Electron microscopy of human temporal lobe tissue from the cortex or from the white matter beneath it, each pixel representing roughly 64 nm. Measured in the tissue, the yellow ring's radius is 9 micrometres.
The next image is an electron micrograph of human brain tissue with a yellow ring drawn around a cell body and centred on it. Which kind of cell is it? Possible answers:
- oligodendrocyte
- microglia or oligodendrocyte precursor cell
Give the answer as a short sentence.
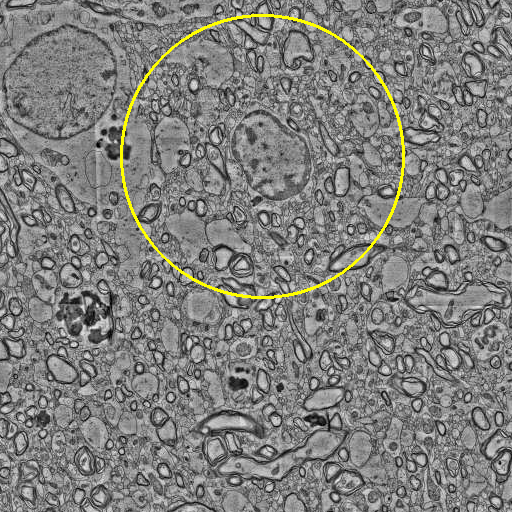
In the ring's centre is a microglial cell or oligodendrocyte precursor cell.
